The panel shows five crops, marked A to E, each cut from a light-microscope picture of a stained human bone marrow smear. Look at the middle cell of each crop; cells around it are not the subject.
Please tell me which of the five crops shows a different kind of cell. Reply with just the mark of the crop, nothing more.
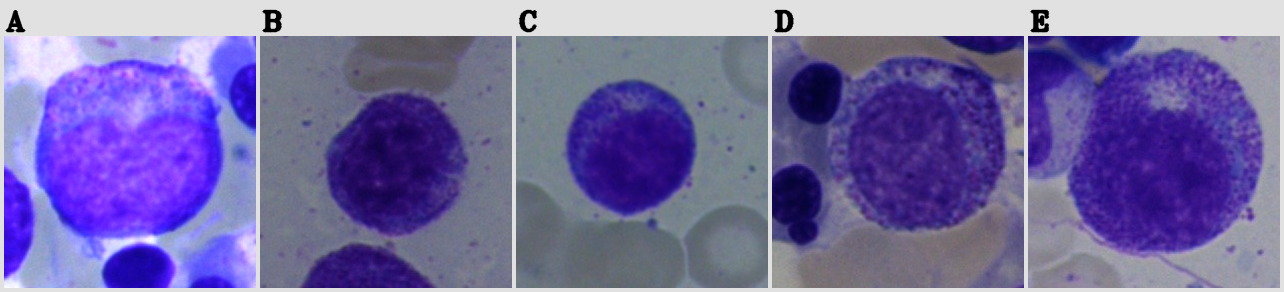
C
